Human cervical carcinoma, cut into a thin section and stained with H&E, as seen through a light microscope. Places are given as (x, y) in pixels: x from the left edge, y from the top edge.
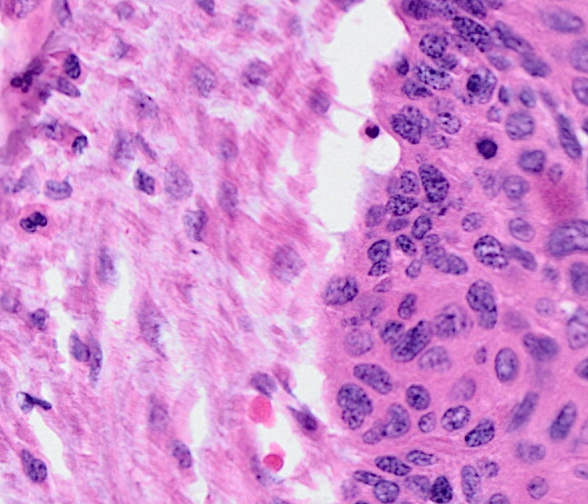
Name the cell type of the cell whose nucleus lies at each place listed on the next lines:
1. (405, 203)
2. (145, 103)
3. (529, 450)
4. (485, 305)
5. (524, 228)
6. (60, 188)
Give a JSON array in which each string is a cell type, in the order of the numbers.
["squamous carcinoma cell", "fibroblast", "squamous carcinoma cell", "squamous carcinoma cell", "squamous carcinoma cell", "macrophage or monocyte"]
